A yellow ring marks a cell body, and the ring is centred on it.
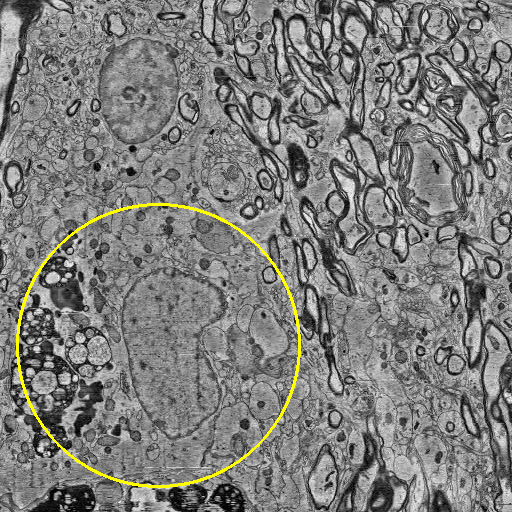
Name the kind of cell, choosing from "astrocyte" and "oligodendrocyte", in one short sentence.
The marked cell body belongs to an astrocyte.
